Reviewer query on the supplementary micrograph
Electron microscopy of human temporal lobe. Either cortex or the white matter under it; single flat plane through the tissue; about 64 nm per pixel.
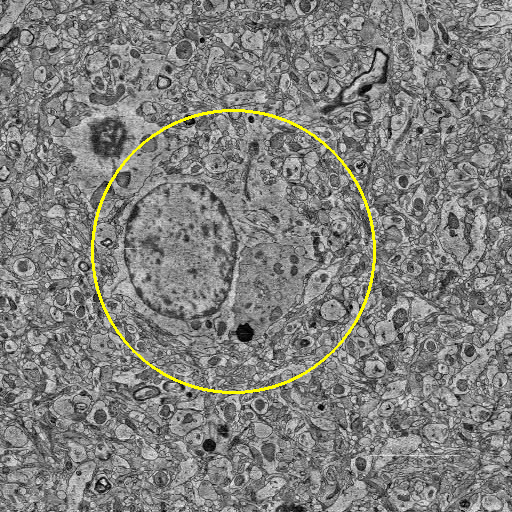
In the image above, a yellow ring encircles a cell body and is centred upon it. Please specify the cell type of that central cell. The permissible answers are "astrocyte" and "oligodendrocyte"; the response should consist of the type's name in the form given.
oligodendrocyte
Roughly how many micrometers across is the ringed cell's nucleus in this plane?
About 9 by 7 micrometers, in this plane.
